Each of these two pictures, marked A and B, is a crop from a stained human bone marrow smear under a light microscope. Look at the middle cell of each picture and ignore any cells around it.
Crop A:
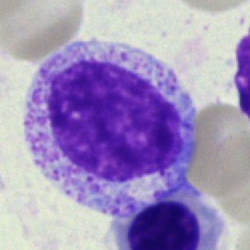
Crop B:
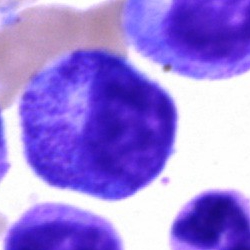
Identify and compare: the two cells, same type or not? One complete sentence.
No, whereas crop A shows a myelocyte, crop B shows a promyelocyte.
